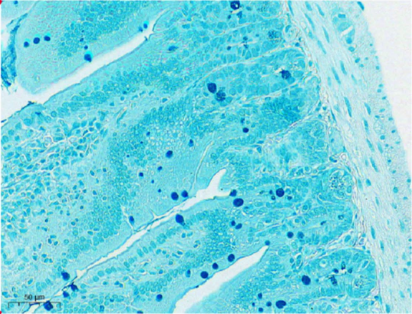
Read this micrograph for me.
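Small intestinal mucosa with villi and crypts lined by columnar epithelium, stained pale blue-green. Scattered goblet cells stand out as rounded, dark blue, mucin-filled cells lying singly within the epithelial lining along villi and in crypts. Between villi, narrow clear lumen spaces are seen. Toward the right the mucosa gives way to a paler band of smooth muscle with elongated nuclei, and the outer wall appears as a thin paler layer. Epithelial cells are tall and closely packed; lamina propria cores of the villi are lightly stained.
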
